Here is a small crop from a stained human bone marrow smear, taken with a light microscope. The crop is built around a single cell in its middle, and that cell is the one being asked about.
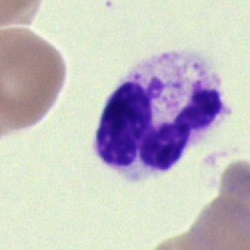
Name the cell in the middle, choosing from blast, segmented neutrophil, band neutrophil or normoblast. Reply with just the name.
segmented neutrophil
